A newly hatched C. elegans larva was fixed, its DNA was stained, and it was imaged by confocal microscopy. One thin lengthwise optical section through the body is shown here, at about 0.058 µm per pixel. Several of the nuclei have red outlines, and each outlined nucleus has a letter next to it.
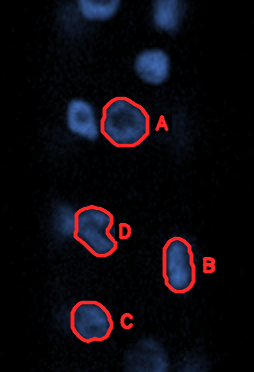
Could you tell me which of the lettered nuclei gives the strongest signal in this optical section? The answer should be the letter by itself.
B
